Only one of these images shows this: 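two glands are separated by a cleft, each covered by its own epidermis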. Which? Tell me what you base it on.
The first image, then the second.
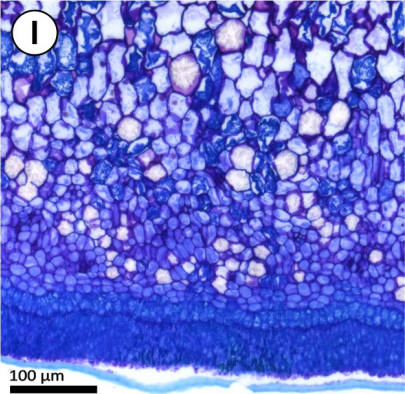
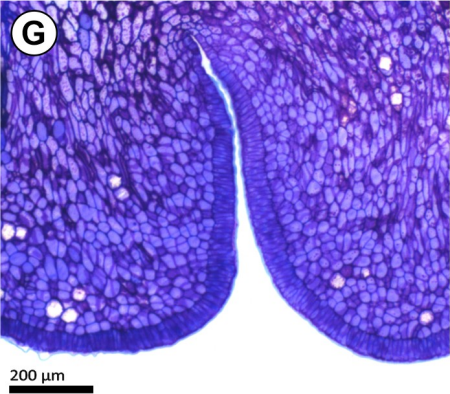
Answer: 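First image: one continuous flat surface layer with no cleft. Second image: two rounded lobes with a deep cleft between them, each lined by its own columnar epidermis. That points to this answer: the second image.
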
